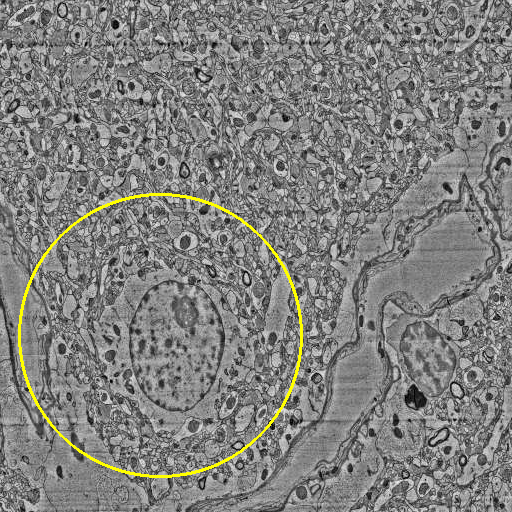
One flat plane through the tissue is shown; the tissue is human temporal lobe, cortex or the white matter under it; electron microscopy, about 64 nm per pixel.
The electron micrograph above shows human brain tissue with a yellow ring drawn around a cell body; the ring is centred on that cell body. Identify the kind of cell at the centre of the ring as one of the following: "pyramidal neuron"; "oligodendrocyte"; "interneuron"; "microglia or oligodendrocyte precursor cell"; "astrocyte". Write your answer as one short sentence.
The cell at the centre of the ring is an astrocyte.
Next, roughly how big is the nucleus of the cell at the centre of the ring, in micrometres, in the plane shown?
Approximately 8 x 6 micrometres in this plane.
